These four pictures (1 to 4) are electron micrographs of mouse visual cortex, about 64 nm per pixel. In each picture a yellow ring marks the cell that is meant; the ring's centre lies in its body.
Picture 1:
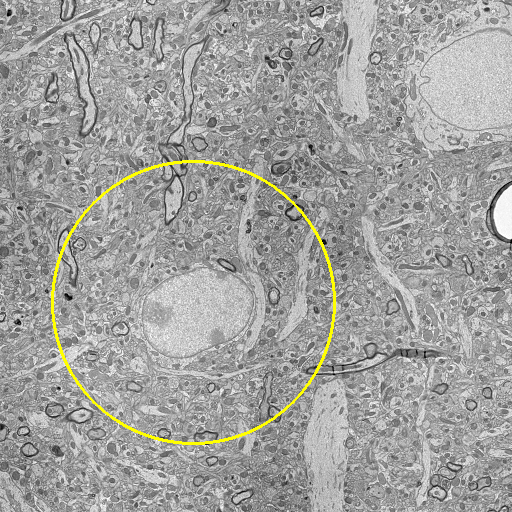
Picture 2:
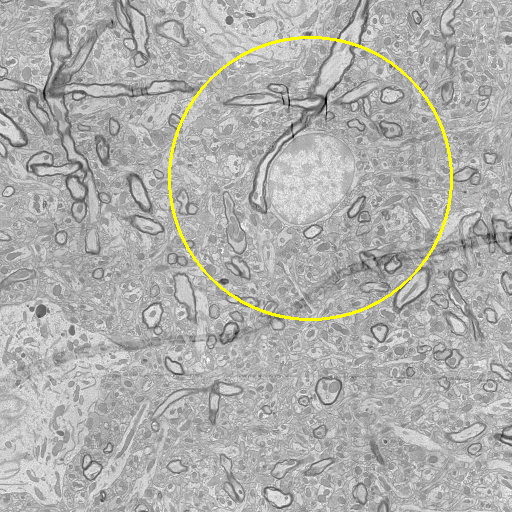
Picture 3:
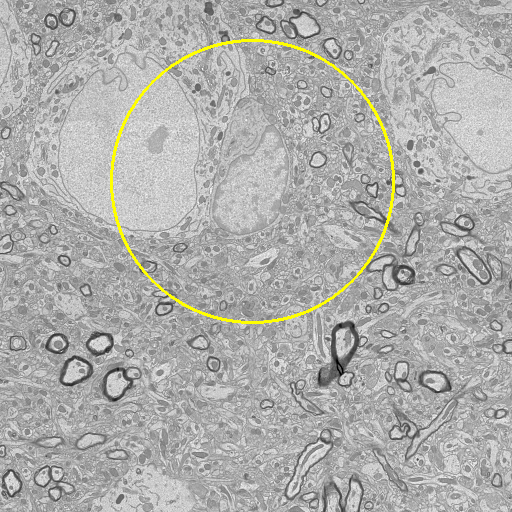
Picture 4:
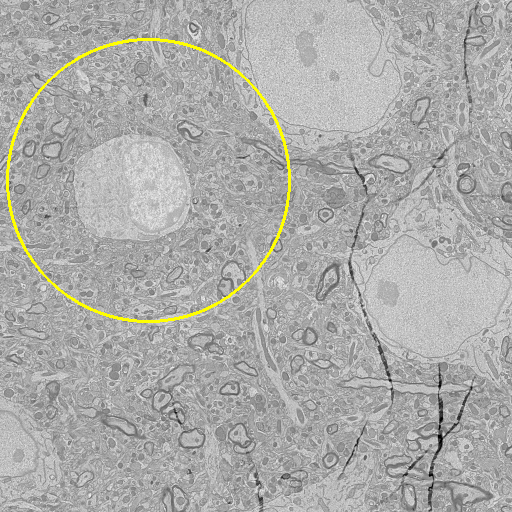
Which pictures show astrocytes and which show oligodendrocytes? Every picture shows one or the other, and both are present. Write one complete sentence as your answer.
Picture 1 shows an astrocyte; pictures 2, 3 and 4 show oligodendrocytes.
